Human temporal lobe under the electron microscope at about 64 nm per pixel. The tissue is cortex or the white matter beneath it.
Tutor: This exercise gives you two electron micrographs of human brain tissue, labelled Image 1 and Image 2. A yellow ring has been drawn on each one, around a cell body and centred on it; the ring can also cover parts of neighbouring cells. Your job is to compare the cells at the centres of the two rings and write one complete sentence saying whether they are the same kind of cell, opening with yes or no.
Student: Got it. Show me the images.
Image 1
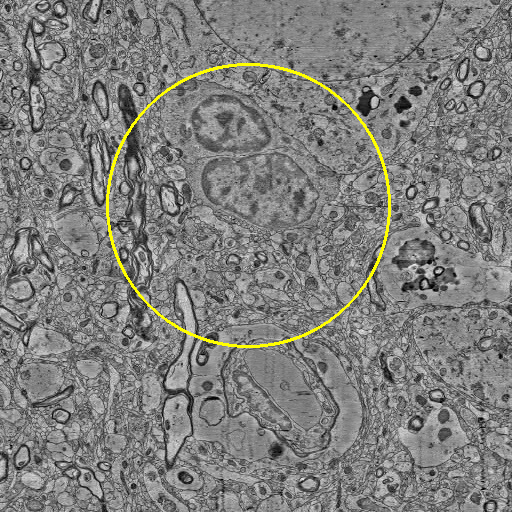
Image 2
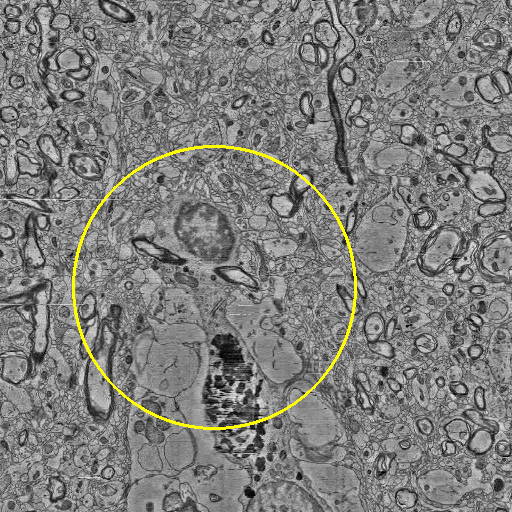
Yes, the two cells belong to the same kind.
